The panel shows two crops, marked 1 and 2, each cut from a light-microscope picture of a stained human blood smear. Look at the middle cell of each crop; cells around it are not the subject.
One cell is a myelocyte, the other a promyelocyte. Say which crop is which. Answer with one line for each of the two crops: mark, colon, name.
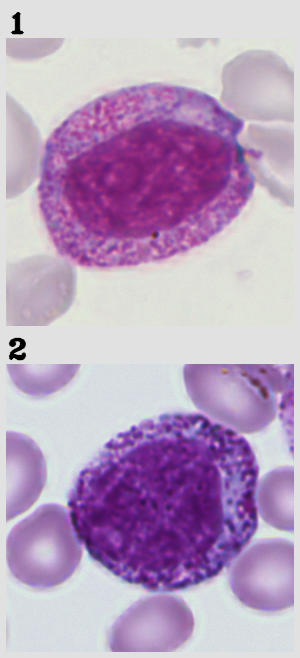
1: promyelocyte
2: myelocyte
